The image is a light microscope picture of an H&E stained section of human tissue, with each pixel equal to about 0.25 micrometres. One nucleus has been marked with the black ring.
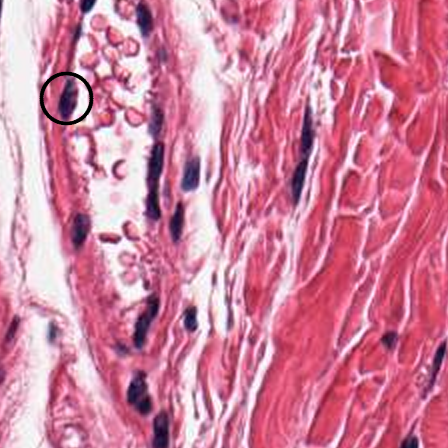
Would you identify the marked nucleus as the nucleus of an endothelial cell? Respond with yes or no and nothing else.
yes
